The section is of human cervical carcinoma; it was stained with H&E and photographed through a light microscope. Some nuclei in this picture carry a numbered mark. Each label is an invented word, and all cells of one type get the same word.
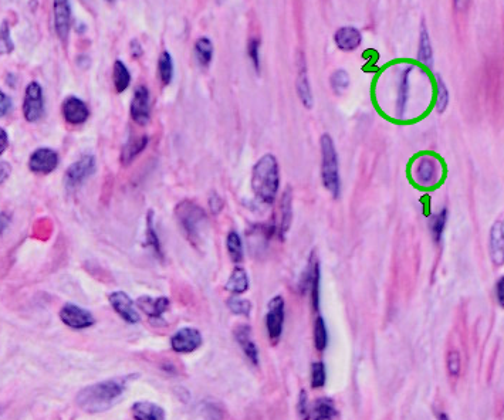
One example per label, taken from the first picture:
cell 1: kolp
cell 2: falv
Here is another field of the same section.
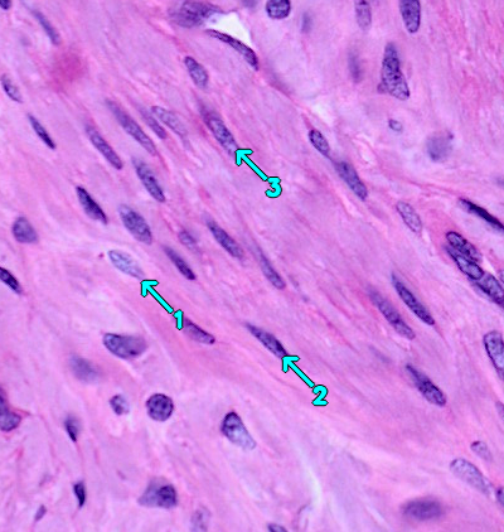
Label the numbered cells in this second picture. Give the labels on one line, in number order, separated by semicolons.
falv; falv; kolp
